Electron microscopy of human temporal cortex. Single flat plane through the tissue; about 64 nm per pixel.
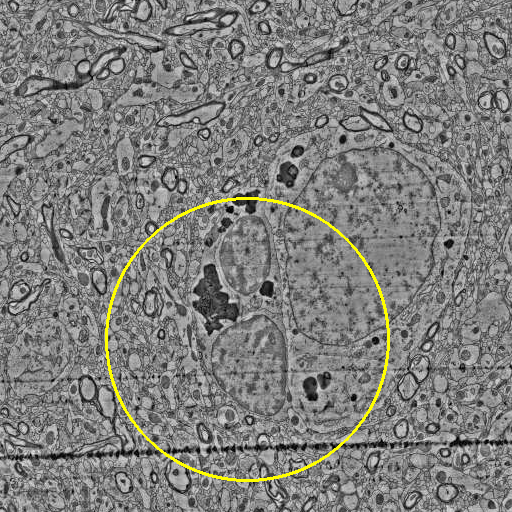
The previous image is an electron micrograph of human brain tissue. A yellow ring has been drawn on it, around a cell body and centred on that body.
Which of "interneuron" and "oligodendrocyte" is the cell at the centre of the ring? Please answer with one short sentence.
The cell body at the centre of the ring belongs to an oligodendrocyte.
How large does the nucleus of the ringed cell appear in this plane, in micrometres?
The nucleus appears roughly 6 by 5 micrometres in this plane.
